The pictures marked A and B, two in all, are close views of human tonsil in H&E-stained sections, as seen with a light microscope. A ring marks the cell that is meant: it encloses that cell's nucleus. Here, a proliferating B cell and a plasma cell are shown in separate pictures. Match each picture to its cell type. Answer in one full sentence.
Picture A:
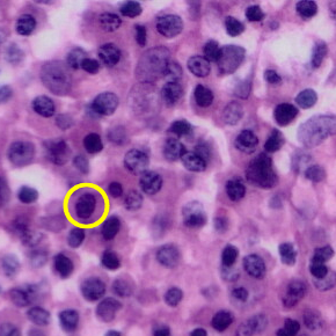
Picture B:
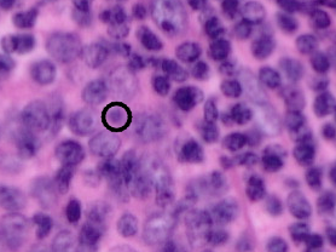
In picture A the cell is a plasma cell; in picture B, a proliferating B cell.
